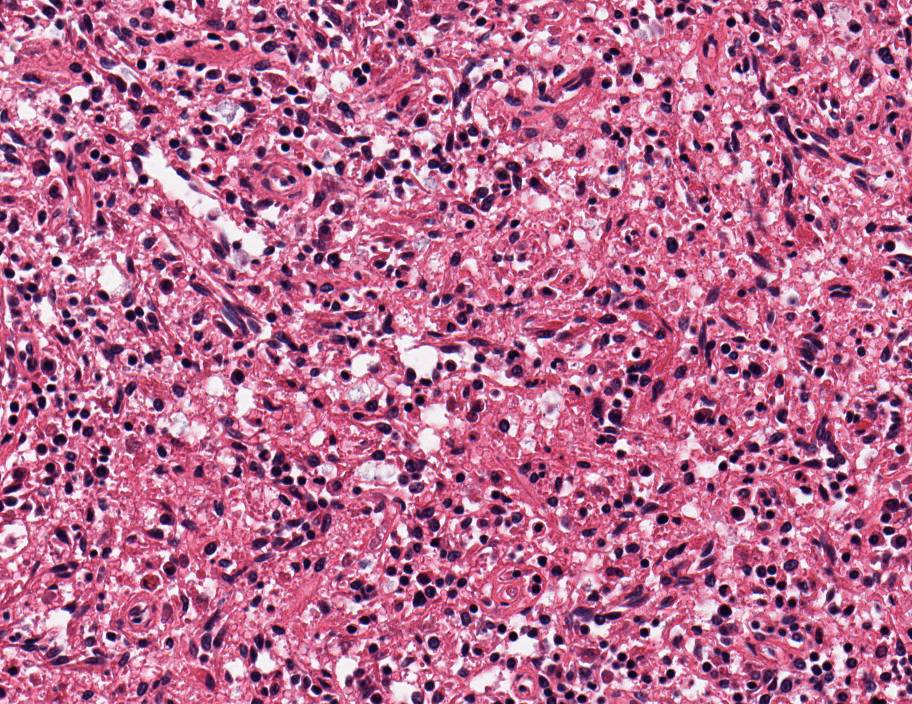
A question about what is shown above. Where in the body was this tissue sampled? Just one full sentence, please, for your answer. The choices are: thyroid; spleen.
It is the spleen from which this tissue was sampled.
